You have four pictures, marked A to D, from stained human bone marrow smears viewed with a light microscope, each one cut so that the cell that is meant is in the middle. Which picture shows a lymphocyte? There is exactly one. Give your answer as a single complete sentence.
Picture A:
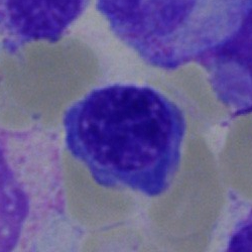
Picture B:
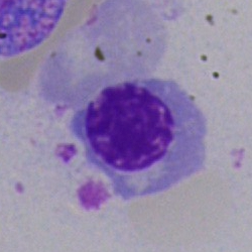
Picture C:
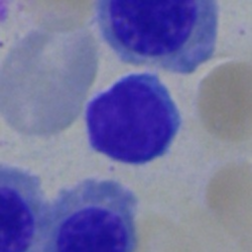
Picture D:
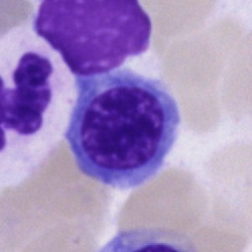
The lymphocyte is the one in picture C.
